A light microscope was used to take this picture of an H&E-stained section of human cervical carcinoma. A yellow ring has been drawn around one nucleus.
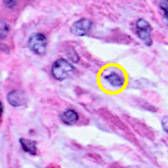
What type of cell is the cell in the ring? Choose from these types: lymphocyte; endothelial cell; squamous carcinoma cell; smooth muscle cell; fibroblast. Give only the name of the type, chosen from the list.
fibroblast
